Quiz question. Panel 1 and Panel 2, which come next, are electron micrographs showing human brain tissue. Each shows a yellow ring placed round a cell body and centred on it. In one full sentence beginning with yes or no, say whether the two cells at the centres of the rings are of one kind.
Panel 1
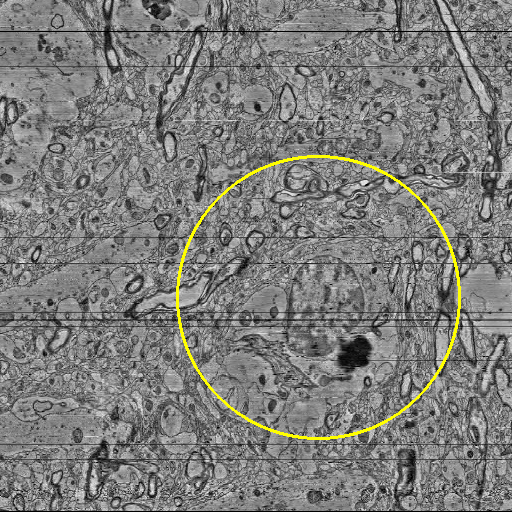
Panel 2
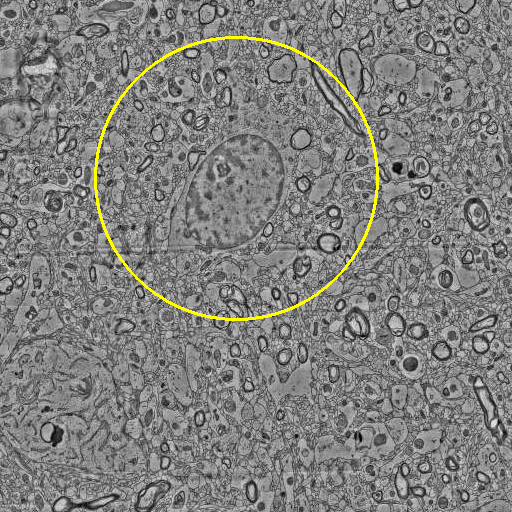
Yes, Panel 1 and Panel 2 show one kind of cell at the centre of the ring.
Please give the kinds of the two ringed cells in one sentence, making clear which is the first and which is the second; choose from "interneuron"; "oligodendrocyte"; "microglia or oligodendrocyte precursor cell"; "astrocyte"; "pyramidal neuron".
The cell in the first picture is an oligodendrocyte, and so is the one in the second.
